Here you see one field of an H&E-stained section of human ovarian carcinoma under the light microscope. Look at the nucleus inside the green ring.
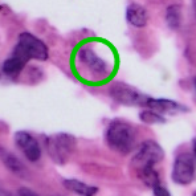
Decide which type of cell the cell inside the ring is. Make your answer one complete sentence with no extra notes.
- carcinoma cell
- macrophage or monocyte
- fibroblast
As far as its identity is concerned, the cell inside the ring is a macrophage or monocyte.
